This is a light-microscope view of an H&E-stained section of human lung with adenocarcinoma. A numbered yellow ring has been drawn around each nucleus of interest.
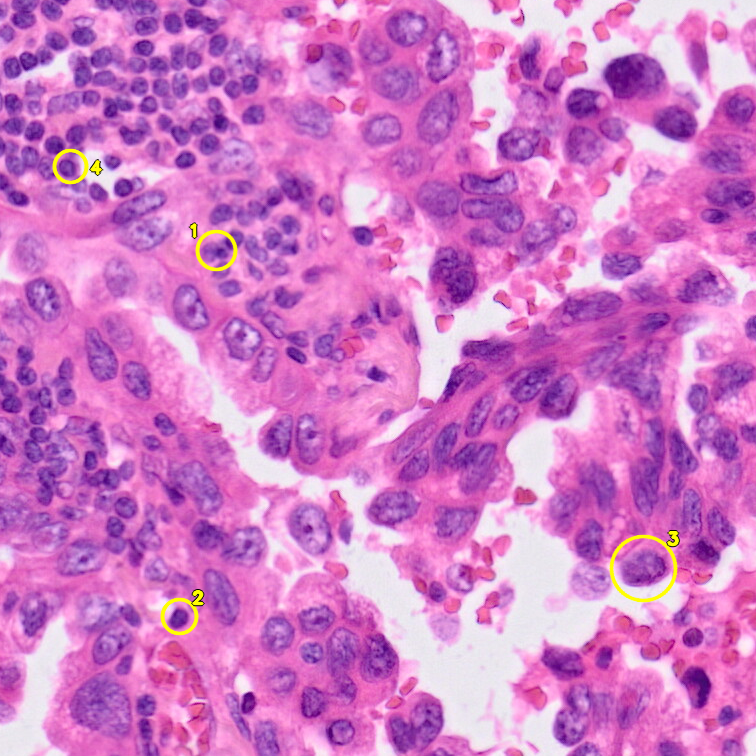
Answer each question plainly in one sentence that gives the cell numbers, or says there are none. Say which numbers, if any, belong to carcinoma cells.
The only cell among those numbered to be a carcinoma cell is number 3.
